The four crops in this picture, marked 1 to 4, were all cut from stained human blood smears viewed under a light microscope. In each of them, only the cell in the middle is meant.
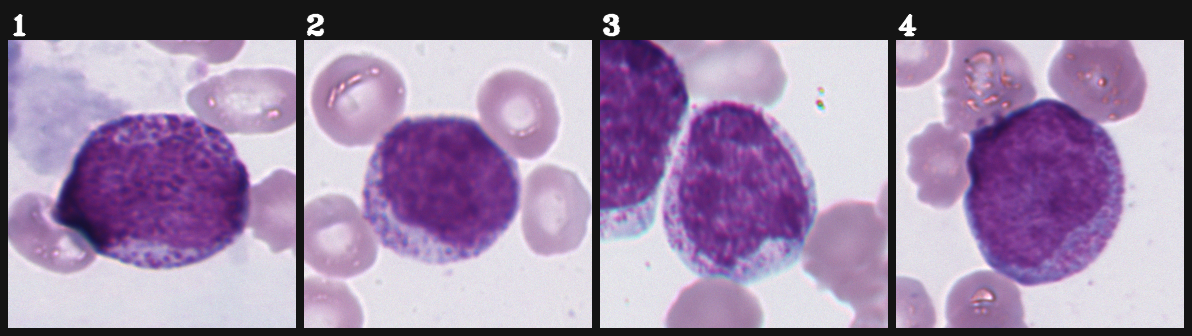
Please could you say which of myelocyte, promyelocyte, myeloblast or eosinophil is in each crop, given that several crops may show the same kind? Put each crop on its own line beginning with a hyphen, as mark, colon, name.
- 1: promyelocyte
- 2: myelocyte
- 3: myelocyte
- 4: promyelocyte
